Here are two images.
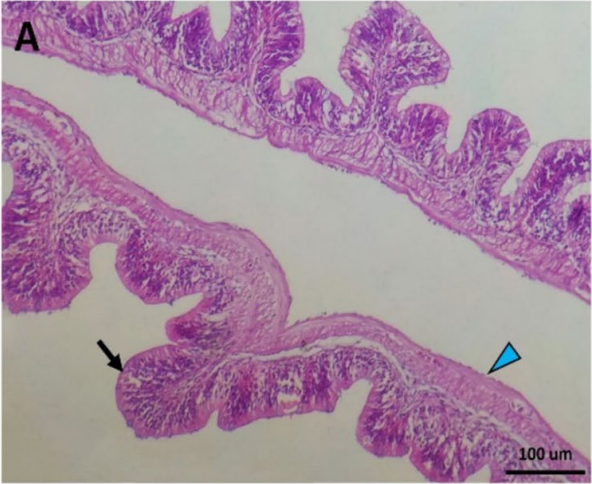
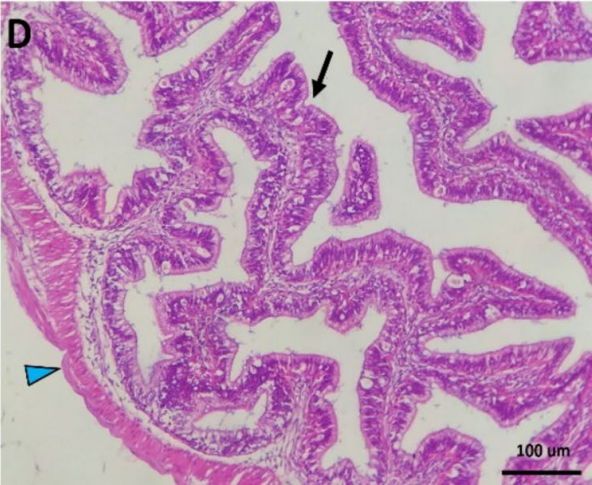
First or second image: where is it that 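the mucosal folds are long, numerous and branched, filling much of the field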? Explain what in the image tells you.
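The second image. Second image: long, slender, branching folds crowd the field and interdigitate.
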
